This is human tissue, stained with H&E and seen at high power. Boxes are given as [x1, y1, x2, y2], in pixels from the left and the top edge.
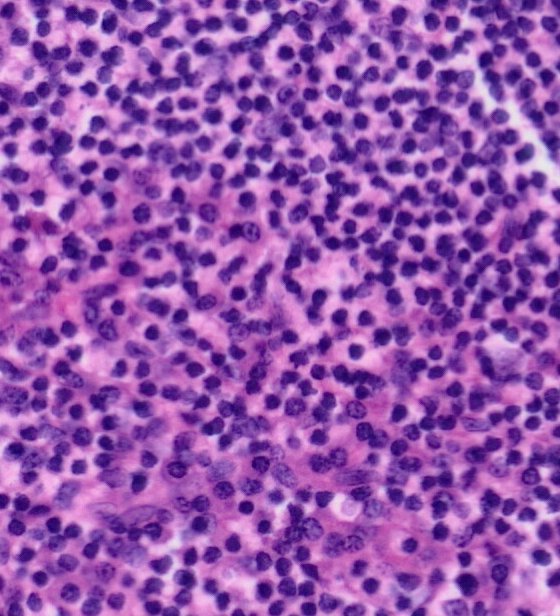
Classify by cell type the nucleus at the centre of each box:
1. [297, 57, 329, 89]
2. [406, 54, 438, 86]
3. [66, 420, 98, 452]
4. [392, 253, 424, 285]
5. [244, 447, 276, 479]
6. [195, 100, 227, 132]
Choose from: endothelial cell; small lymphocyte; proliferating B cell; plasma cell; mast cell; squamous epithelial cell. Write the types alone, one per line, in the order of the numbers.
small lymphocyte
small lymphocyte
plasma cell
small lymphocyte
plasma cell
small lymphocyte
